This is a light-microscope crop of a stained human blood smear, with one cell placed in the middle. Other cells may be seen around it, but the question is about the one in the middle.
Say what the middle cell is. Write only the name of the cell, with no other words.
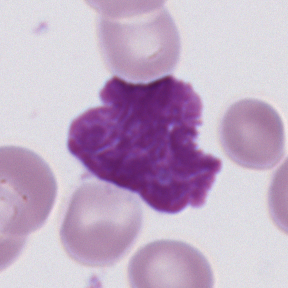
smudge cell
